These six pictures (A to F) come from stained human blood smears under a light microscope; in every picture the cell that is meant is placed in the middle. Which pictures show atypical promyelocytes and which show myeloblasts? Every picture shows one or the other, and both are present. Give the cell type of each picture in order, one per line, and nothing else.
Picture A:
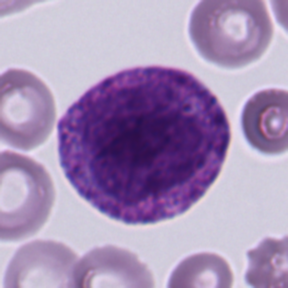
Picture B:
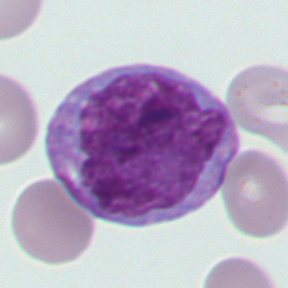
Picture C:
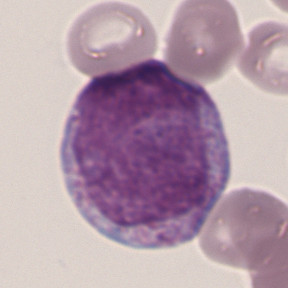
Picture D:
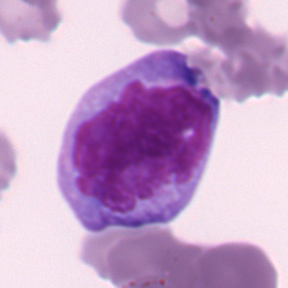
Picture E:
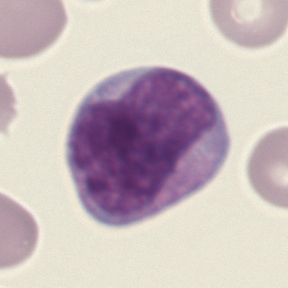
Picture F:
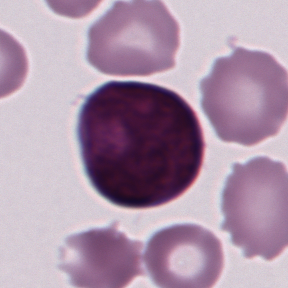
atypical promyelocyte
atypical promyelocyte
atypical promyelocyte
myeloblast
atypical promyelocyte
myeloblast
